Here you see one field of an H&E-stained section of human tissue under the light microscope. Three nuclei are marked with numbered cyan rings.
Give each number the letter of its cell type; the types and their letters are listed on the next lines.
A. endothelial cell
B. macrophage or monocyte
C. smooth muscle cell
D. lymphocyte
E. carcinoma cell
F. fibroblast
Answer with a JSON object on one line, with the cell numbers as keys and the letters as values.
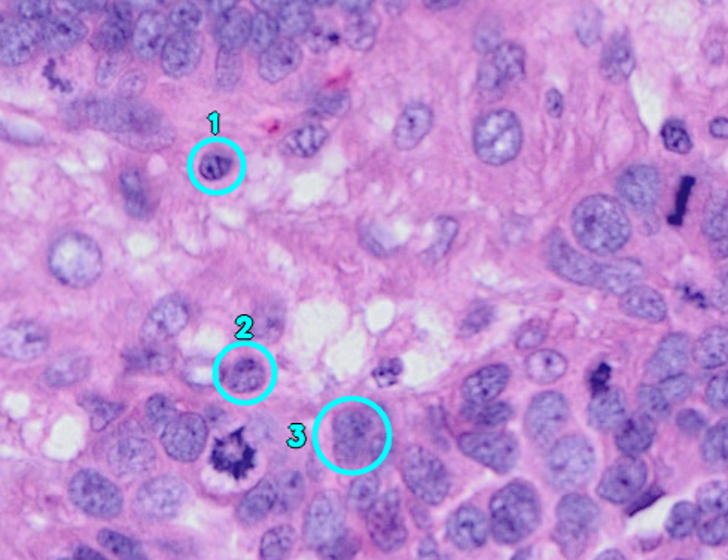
{"1": "D", "2": "B", "3": "E"}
